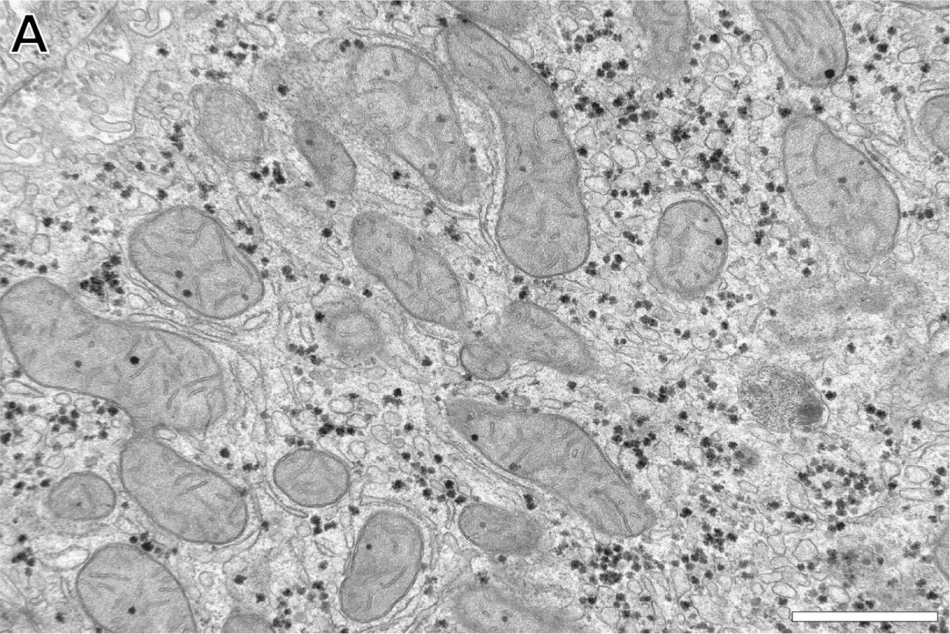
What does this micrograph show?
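The cytoplasm of a liver parenchymal cell is packed with many oval, rounded and elongated mitochondria of fairly similar size. Each is bounded by a double membrane and shows thin, scattered cristae in a mid-grey matrix, with occasional small very dark granules inside. Between them lie numerous small membrane profiles and tubules, likely endoplasmic reticulum. Clusters of small, very dark rosette-like particles are scattered throughout the cytoplasm among the organelles.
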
